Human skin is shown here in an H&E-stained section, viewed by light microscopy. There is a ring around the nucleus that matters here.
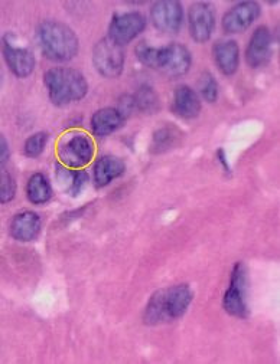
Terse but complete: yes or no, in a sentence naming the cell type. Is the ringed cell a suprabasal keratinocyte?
No, the ringed cell is classed as a basal keratinocyte, not as a suprabasal keratinocyte.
